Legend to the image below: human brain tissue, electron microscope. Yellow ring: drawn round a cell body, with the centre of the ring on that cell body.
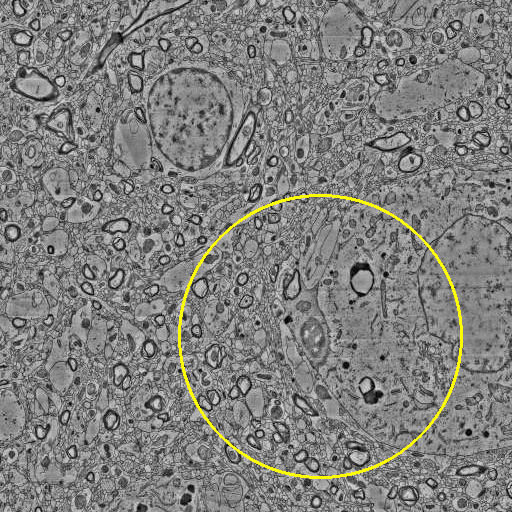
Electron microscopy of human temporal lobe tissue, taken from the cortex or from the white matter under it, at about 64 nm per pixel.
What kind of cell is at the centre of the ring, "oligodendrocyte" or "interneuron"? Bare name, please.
oligodendrocyte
